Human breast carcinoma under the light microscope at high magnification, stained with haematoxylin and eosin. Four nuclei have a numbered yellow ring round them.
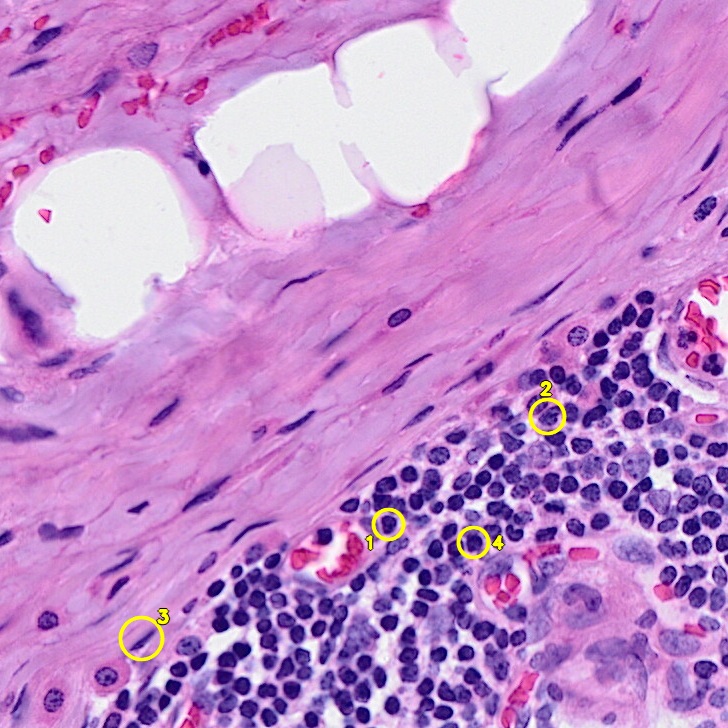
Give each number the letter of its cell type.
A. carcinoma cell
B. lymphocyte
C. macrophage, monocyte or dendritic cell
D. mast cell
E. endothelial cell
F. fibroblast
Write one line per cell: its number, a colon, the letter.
1: B
2: B
3: F
4: B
